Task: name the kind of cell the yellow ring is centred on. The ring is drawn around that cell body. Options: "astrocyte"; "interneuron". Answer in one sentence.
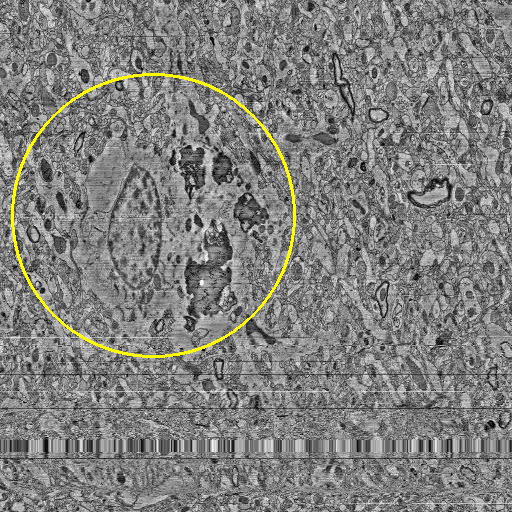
This cell body belongs to an astrocyte.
